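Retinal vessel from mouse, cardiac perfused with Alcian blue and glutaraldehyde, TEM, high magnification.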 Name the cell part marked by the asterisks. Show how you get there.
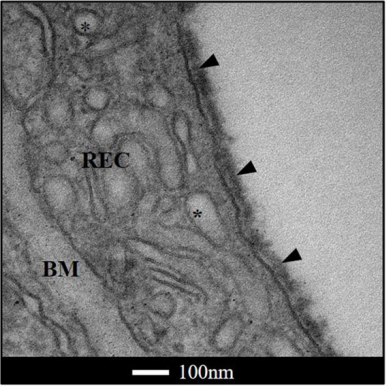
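The asterisks sit in small round membrane-bound profiles inside the cell cytoplasm. The profiles are pale and roughly circular, tens of nanometres across.
Hence: vesicles.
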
